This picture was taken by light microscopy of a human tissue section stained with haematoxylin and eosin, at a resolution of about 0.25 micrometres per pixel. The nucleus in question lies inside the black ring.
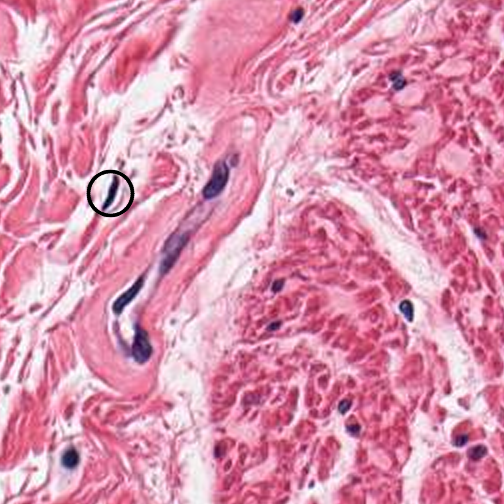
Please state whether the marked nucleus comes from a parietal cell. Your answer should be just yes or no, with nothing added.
no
